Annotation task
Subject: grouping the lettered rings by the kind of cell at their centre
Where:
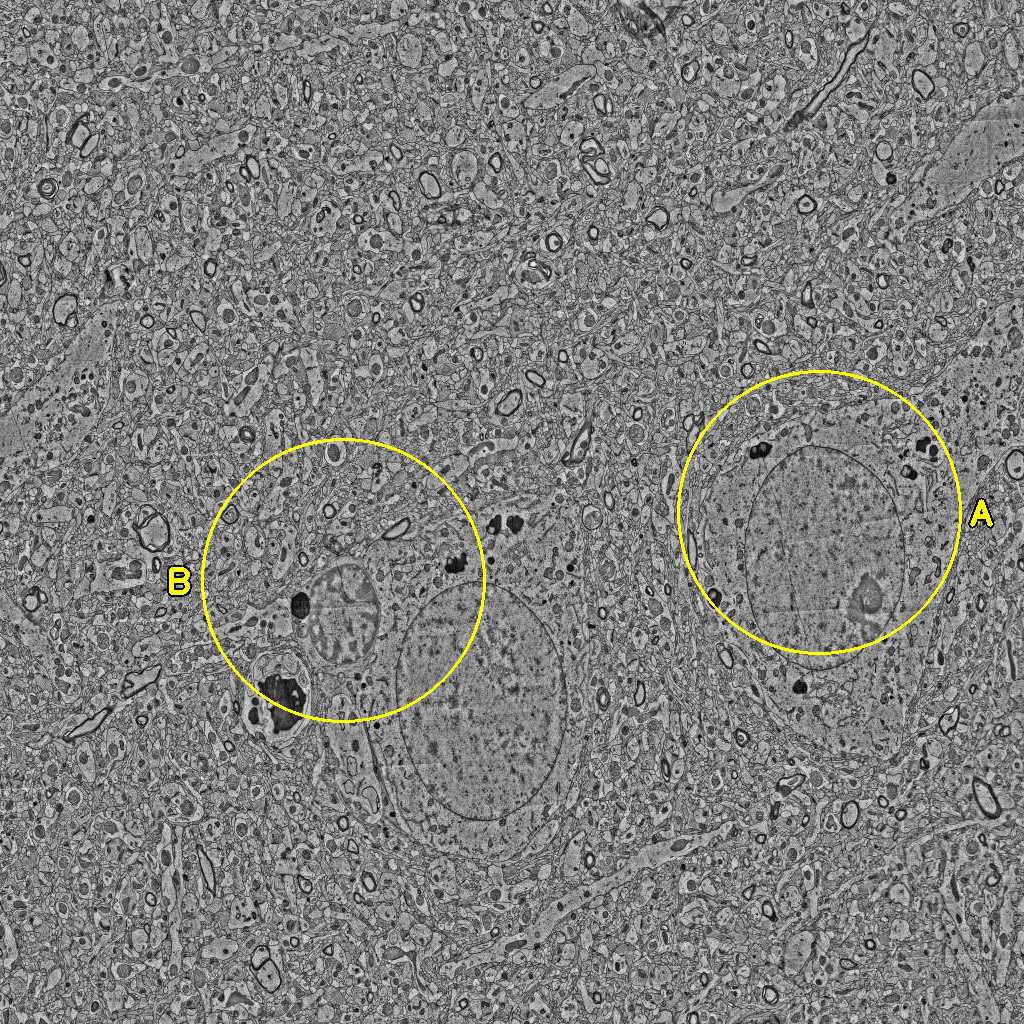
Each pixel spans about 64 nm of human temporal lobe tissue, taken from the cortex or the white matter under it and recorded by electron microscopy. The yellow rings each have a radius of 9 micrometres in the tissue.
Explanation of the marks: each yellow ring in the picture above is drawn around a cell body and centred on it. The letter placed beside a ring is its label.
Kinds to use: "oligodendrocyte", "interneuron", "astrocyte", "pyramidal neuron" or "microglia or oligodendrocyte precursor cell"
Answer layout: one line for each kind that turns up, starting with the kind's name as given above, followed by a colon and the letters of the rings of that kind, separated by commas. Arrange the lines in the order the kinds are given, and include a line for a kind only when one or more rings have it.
oligodendrocyte: B
pyramidal neuron: A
